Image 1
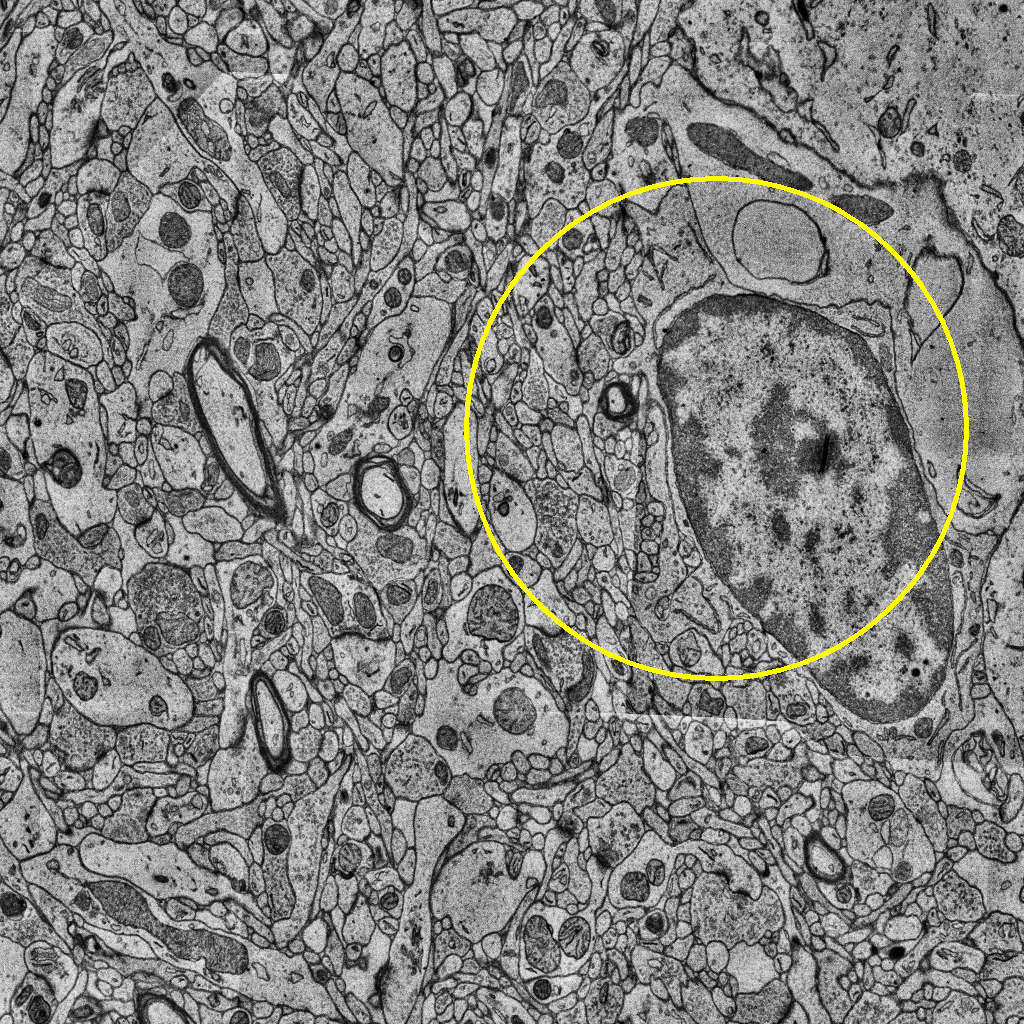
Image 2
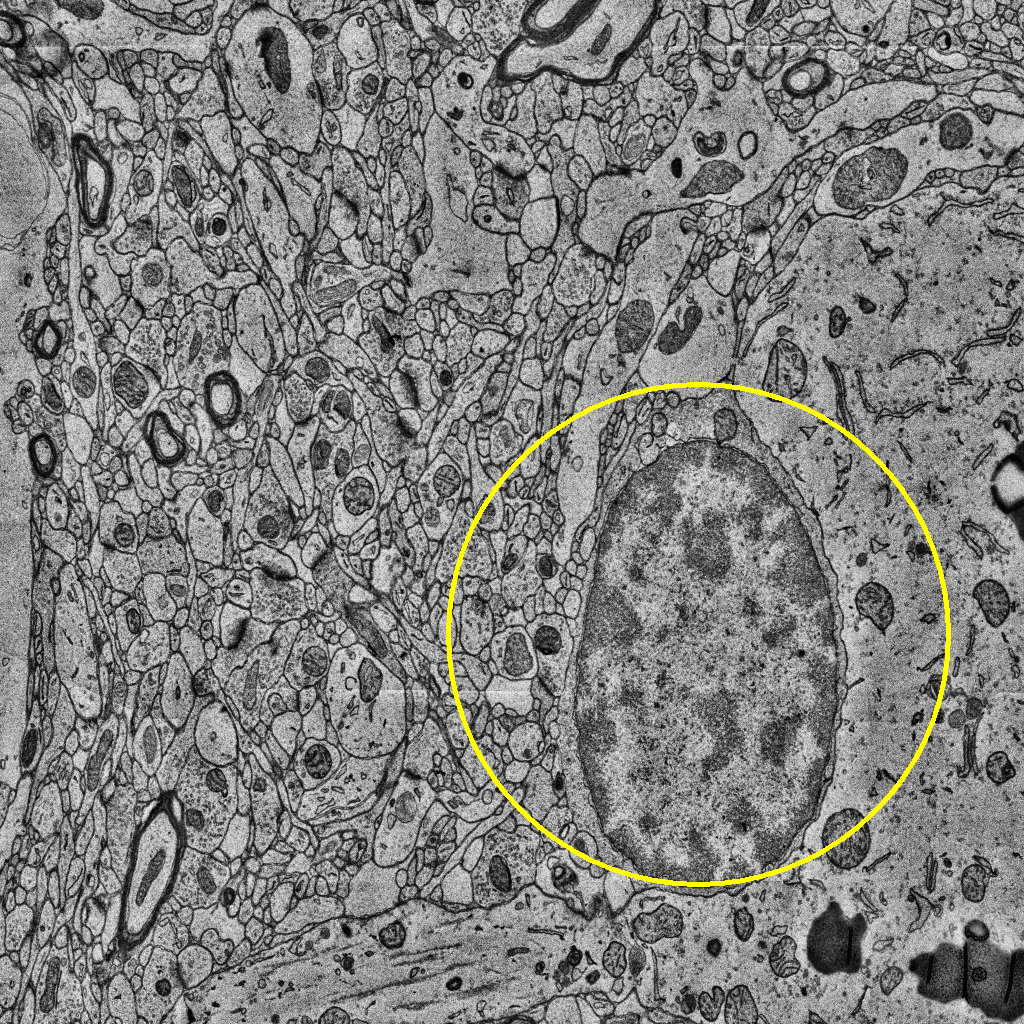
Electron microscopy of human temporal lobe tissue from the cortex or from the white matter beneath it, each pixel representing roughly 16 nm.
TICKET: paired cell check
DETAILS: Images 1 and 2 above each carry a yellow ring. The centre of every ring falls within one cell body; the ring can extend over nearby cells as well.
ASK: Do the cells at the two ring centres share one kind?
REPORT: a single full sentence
No, the cells at the ring centres of Images 1 and 2 belong to two kinds.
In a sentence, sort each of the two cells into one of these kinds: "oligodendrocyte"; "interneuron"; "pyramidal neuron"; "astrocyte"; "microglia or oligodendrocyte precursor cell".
The first picture shows a microglial cell or oligodendrocyte precursor cell at the ring centre and the second shows an oligodendrocyte.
